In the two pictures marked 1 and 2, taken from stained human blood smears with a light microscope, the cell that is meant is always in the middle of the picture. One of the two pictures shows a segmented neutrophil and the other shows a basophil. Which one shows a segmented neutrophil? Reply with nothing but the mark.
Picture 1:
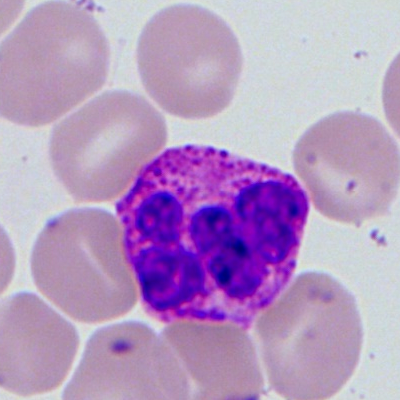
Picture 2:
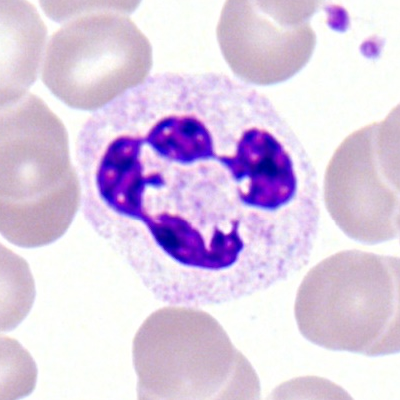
2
